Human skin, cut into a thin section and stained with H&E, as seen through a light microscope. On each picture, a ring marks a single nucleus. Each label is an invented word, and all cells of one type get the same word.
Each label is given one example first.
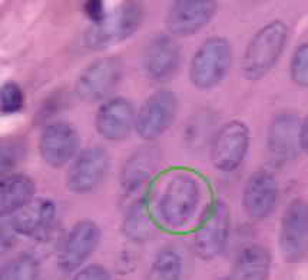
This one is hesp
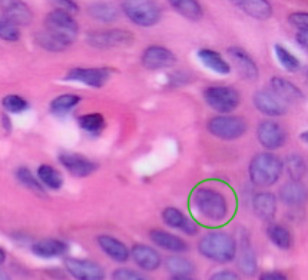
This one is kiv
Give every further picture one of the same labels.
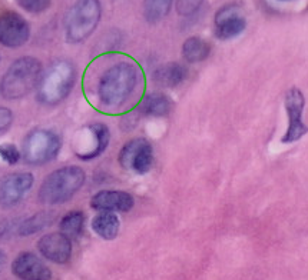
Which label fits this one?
hesp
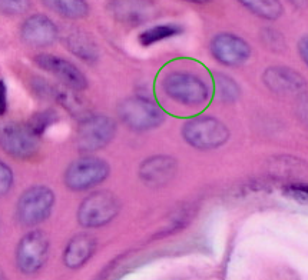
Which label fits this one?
hesp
